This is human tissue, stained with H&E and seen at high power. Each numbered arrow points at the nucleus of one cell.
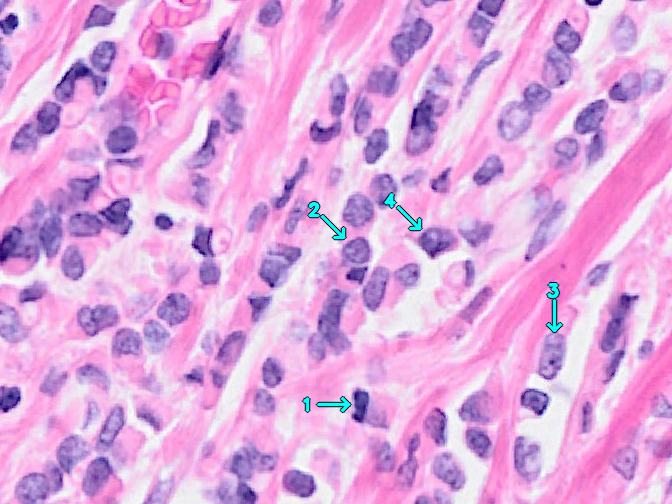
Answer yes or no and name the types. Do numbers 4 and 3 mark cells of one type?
Yes, both are carcinoma cells.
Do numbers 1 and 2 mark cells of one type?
No, cell 1 is a lymphocyte and cell 2 is a carcinoma cell.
